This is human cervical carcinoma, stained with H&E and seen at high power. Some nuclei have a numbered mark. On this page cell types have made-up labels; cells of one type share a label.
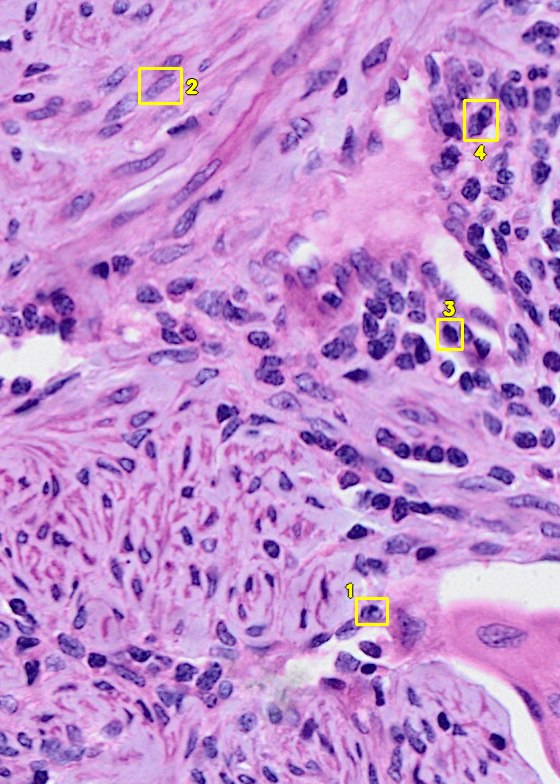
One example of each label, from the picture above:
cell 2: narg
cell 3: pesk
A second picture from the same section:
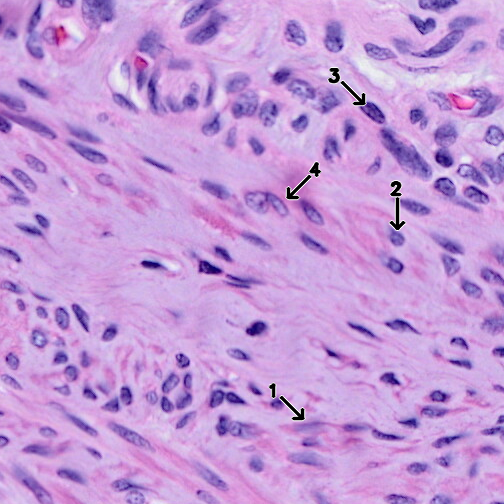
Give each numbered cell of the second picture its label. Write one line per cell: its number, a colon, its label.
1: narg
2: narg
3: pesk
4: narg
